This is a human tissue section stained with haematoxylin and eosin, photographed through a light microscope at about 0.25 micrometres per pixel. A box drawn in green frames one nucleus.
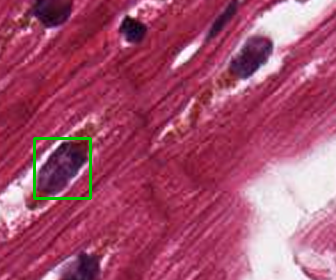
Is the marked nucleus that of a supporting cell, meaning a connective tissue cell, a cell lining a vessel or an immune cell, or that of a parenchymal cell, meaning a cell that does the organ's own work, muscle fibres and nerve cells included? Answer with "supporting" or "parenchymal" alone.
parenchymal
